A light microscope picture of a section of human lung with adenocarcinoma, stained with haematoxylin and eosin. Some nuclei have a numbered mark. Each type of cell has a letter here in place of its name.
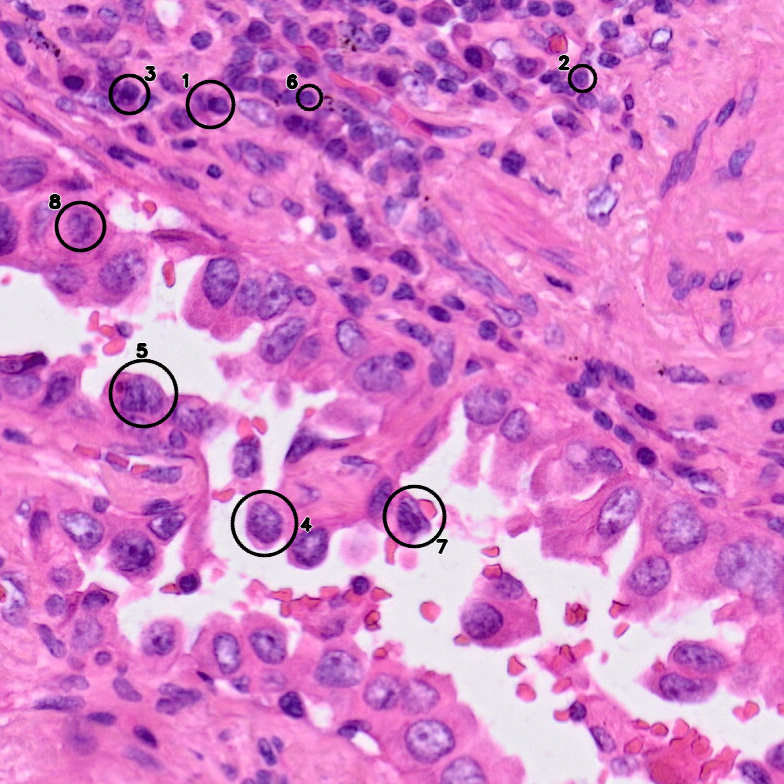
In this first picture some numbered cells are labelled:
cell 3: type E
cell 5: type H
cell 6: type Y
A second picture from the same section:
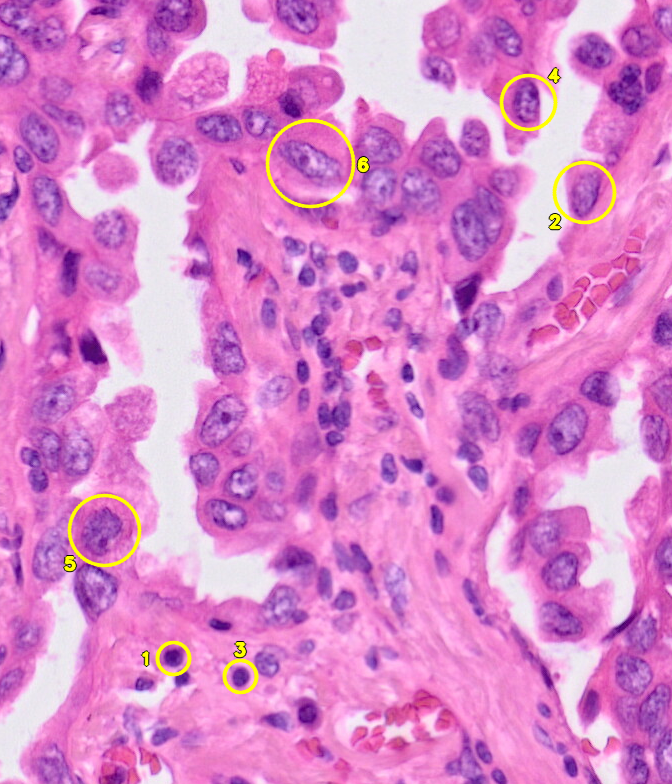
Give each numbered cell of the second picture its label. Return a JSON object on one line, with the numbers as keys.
{"1": "type E", "2": "type H", "3": "type Y", "4": "type H", "5": "type H", "6": "type H"}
